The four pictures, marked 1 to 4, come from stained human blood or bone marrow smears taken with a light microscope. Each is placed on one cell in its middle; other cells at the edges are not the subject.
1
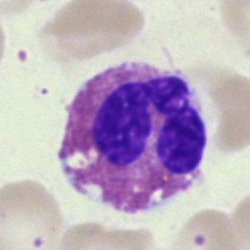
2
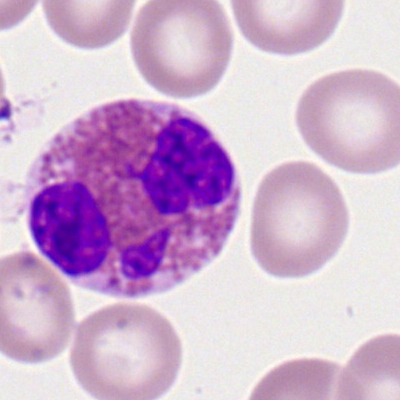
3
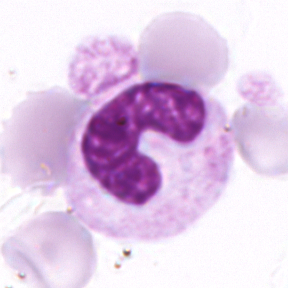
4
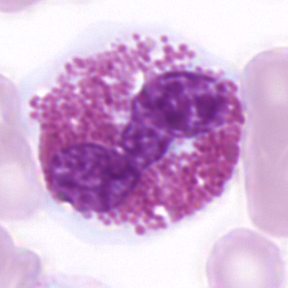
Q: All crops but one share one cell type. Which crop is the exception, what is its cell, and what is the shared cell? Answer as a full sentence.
Crop 3 is a band neutrophil, while the rest of the set consists of eosinophils.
